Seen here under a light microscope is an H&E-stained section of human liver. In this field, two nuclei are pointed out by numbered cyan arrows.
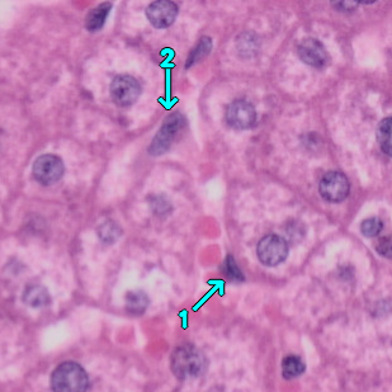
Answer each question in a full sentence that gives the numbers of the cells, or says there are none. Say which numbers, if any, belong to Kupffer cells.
A single numbered cell, cell 2, is a Kupffer cell.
